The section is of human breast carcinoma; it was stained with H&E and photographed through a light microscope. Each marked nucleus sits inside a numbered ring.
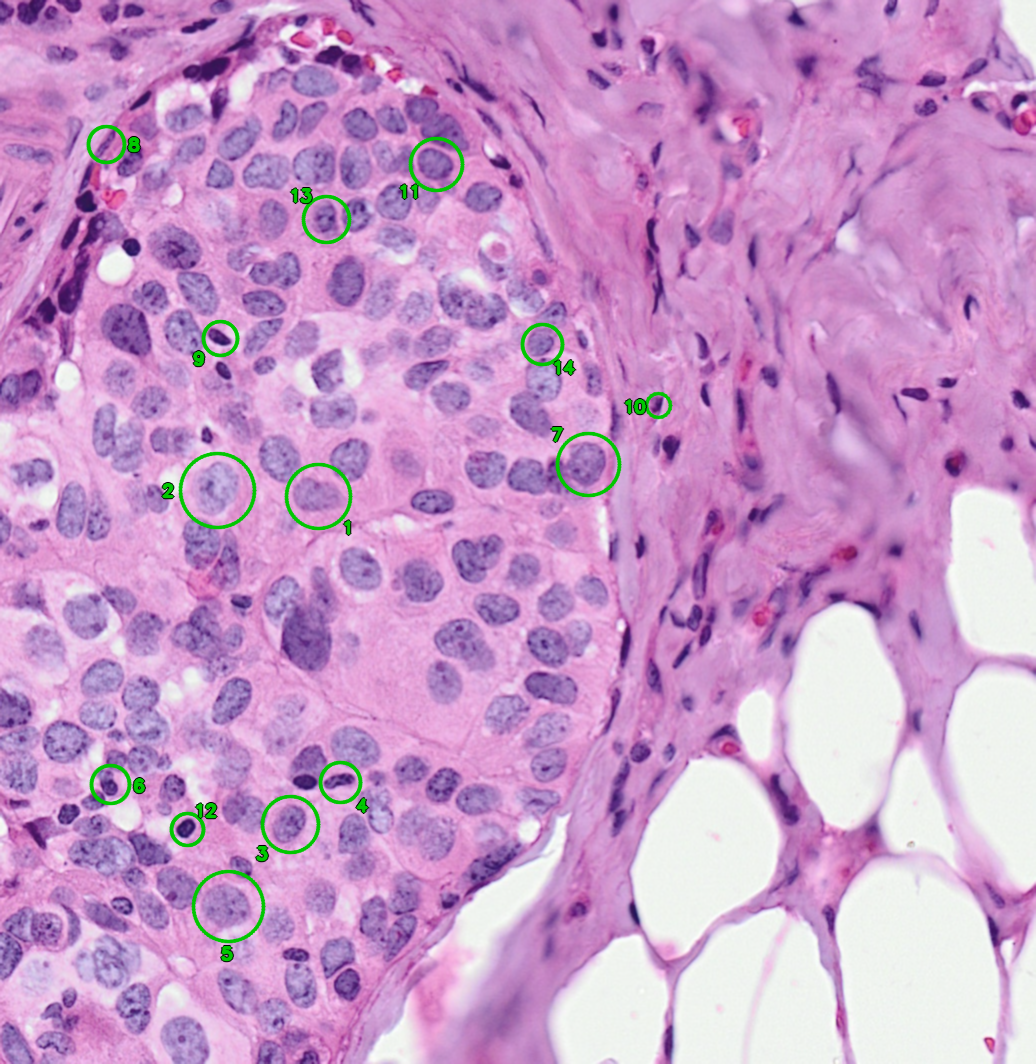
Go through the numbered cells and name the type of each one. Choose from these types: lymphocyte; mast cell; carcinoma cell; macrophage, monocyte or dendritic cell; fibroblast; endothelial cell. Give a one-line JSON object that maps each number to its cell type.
{"1": "carcinoma cell", "2": "carcinoma cell", "3": "carcinoma cell", "4": "lymphocyte", "5": "carcinoma cell", "6": "lymphocyte", "7": "carcinoma cell", "8": "endothelial cell", "9": "lymphocyte", "10": "fibroblast", "11": "carcinoma cell", "12": "lymphocyte", "13": "carcinoma cell", "14": "carcinoma cell"}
